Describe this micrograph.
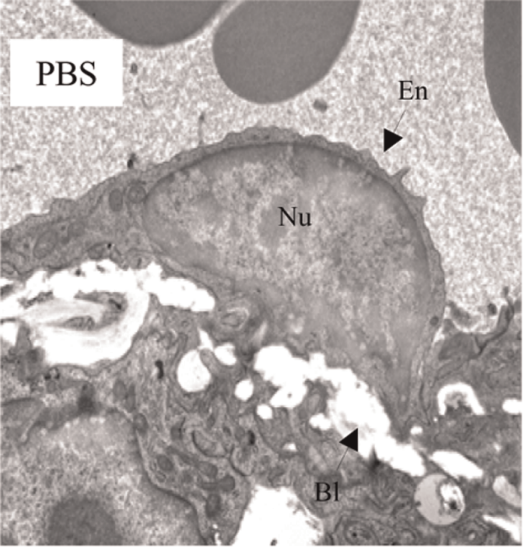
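This electron micrograph shows an endothelial cell lining a blood vessel, with red blood cells seen as dense grey profiles in the pale lumen above. The surface is largely smooth, without obvious vacuoles or breaks, consistent with normal endothelial morphology.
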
